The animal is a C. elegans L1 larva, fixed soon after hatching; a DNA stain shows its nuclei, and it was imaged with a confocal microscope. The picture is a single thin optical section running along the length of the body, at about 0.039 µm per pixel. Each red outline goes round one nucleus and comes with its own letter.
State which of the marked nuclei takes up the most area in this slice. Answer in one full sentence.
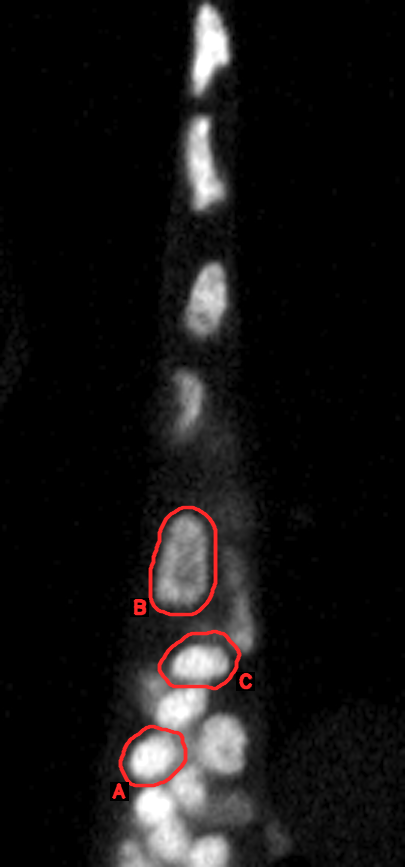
Of the marked nuclei, B is the biggest in this section.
